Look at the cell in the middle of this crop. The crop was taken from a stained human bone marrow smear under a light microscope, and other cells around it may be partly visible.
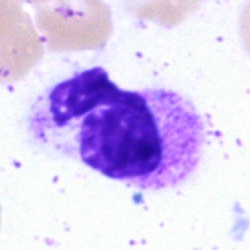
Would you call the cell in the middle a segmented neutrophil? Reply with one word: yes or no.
yes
